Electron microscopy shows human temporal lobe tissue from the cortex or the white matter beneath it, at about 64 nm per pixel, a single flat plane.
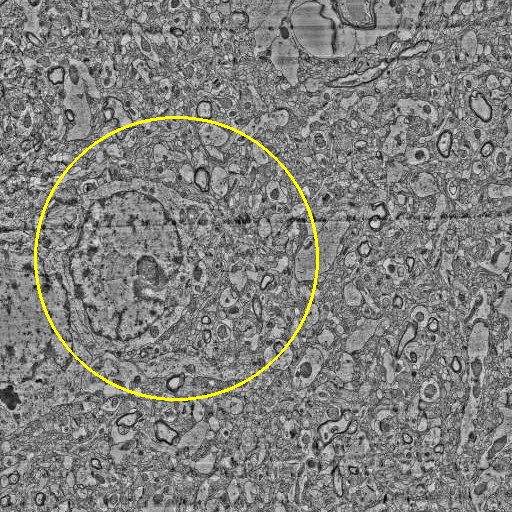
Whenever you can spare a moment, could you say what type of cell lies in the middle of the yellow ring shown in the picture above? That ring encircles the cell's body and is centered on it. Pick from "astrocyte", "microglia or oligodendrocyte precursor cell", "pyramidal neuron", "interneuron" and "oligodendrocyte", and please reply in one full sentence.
The cell whose body sits at the middle of the yellow ring is an interneuron.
